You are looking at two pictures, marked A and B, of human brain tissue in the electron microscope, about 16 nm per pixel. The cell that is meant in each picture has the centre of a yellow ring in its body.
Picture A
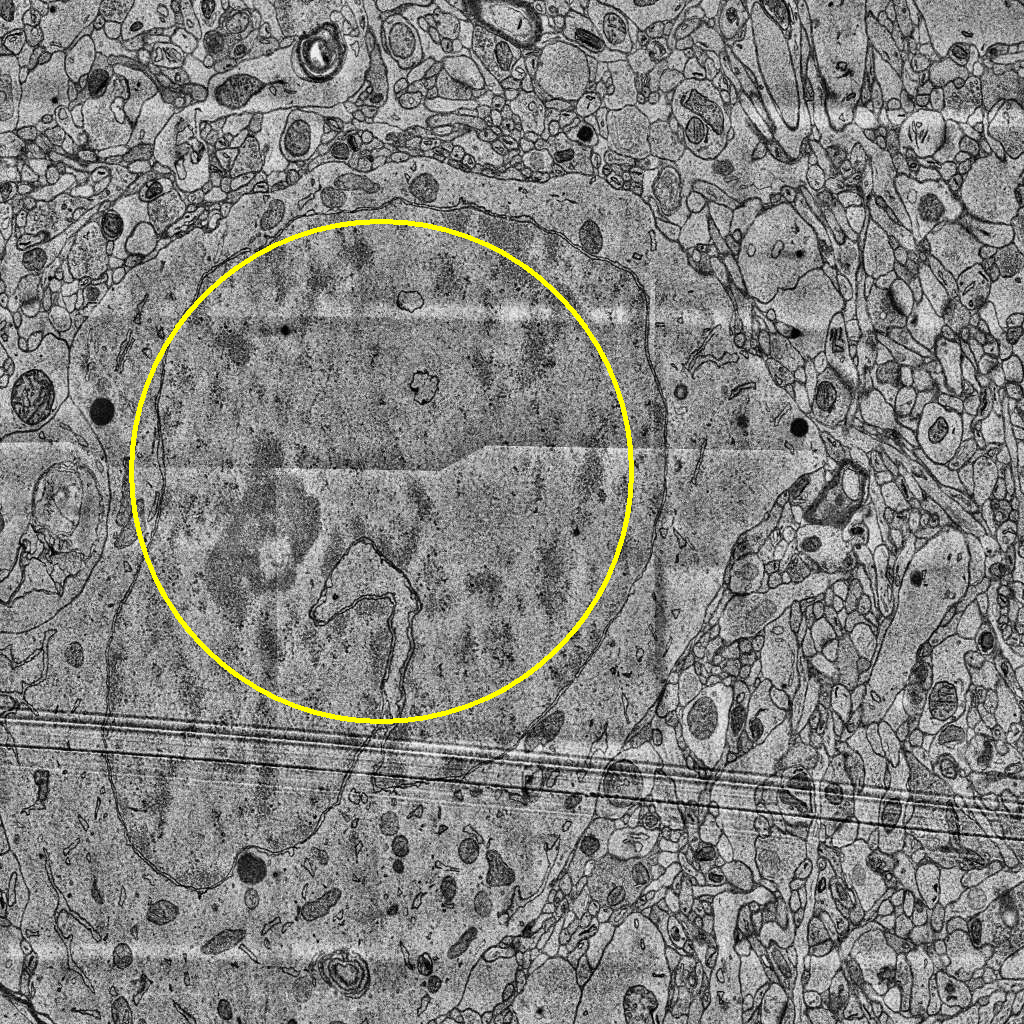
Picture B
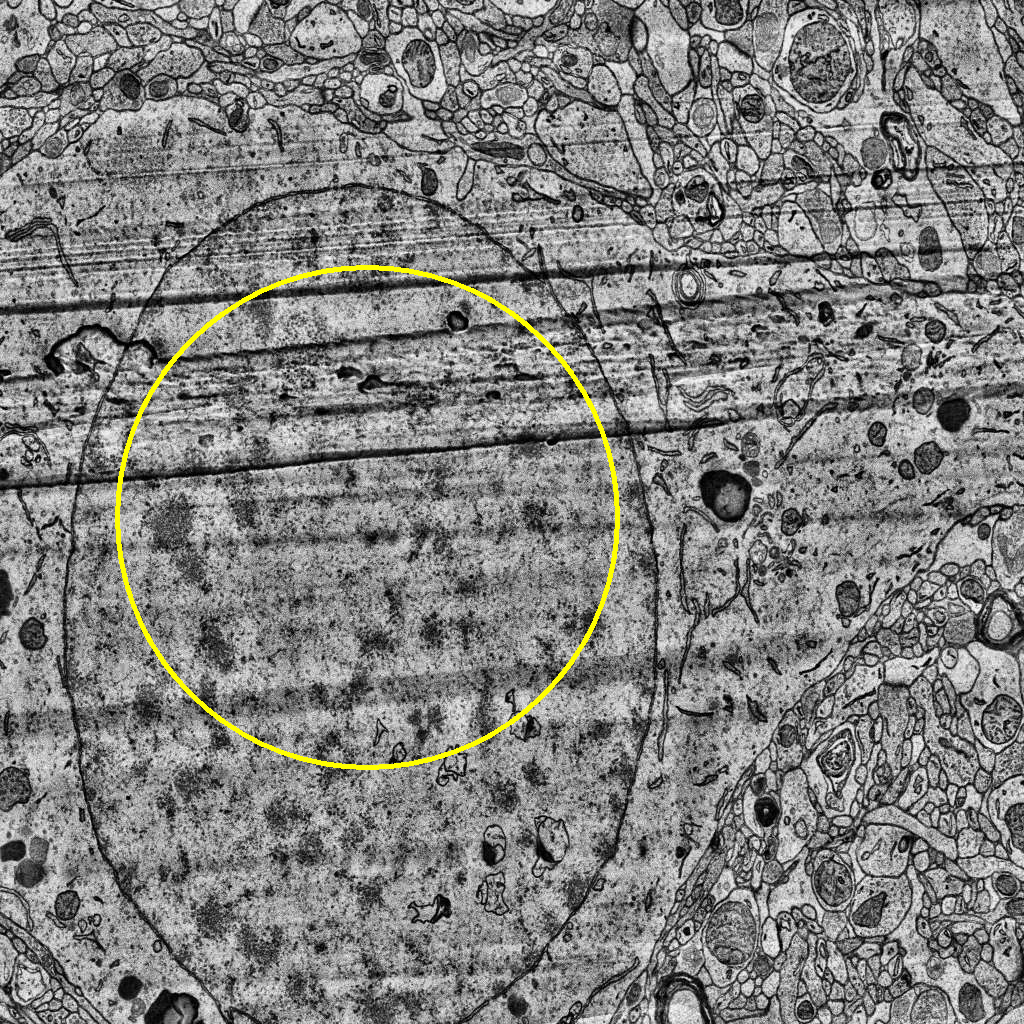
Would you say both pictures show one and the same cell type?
No, they differ: the cell is an interneuron in picture A and a pyramidal neuron in picture B.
